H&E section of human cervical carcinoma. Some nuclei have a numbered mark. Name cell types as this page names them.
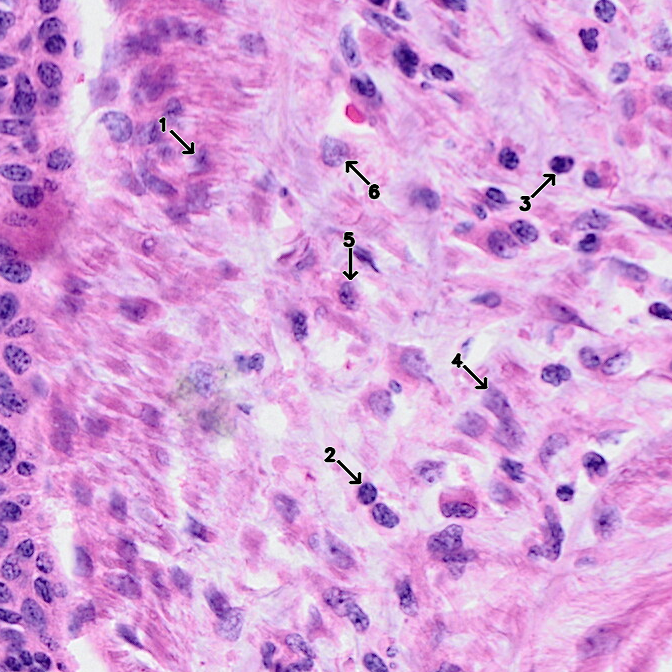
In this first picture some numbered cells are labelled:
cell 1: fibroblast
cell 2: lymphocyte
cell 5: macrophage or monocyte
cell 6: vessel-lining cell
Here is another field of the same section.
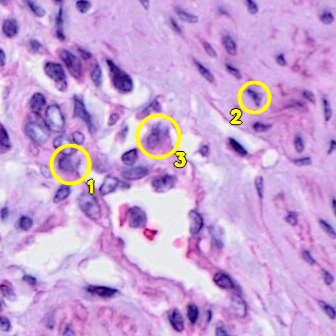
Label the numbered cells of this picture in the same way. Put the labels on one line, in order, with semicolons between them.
vessel-lining cell; fibroblast; macrophage or monocyte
